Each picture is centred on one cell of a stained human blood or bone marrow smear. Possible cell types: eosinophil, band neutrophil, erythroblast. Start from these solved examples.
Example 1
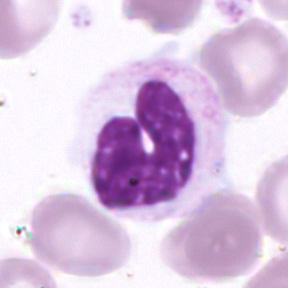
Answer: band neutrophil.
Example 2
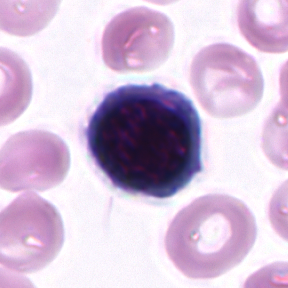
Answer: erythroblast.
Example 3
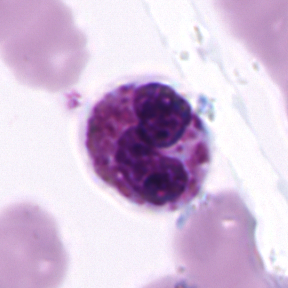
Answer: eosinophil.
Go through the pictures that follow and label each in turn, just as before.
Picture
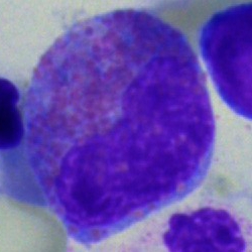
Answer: eosinophil.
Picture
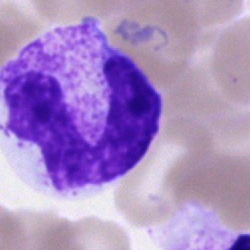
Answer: band neutrophil.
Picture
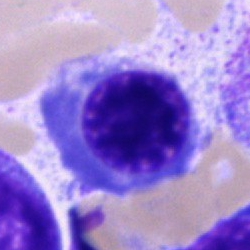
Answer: erythroblast.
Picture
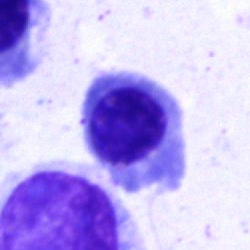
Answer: erythroblast.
